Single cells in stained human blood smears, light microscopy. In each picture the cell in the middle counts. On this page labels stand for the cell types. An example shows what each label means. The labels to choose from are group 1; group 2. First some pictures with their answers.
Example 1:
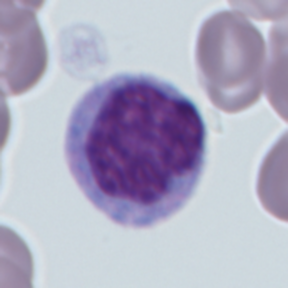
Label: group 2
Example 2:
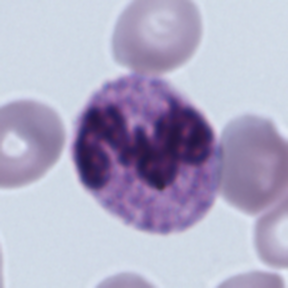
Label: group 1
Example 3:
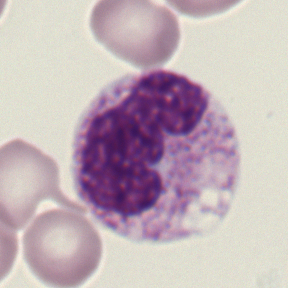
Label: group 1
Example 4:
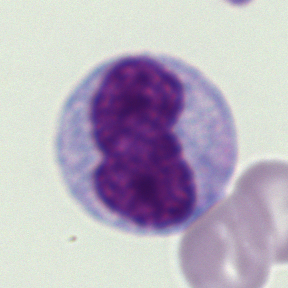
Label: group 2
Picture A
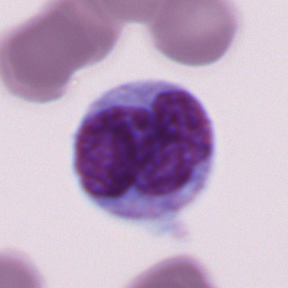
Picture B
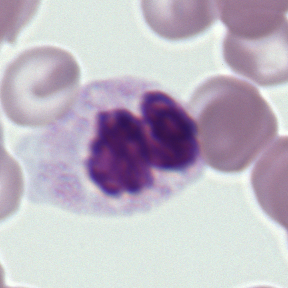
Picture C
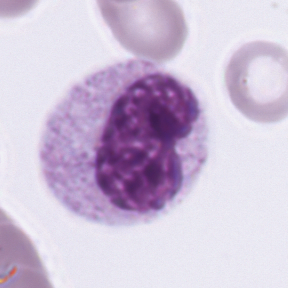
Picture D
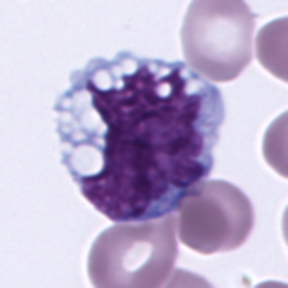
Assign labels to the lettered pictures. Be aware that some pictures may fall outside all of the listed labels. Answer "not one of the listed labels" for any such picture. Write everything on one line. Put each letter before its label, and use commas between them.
A group 2, B group 1, C not one of the listed labels, D group 2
